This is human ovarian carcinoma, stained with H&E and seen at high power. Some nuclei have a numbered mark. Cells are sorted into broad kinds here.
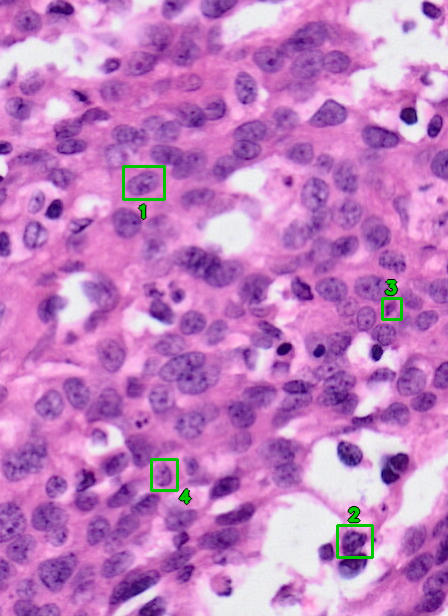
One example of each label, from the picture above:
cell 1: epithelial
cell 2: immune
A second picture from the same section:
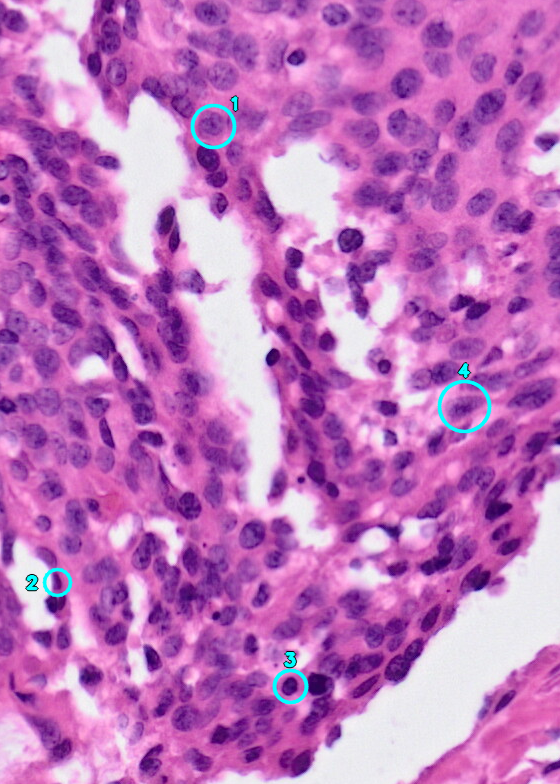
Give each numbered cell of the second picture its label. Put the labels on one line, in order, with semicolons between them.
epithelial; epithelial; immune; epithelial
